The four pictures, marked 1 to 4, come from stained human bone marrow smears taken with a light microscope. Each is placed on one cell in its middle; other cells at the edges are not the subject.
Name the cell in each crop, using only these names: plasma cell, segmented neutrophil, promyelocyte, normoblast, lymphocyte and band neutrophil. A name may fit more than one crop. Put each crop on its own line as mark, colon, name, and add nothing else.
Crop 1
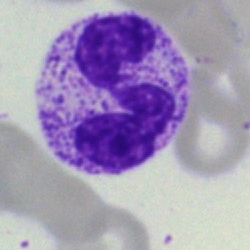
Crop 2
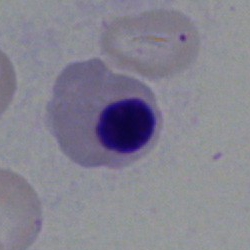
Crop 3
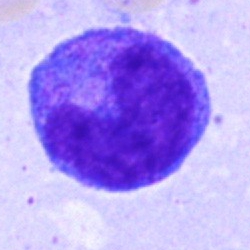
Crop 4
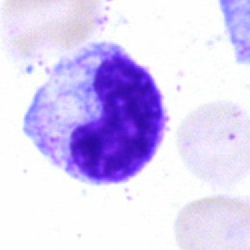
1: segmented neutrophil
2: normoblast
3: promyelocyte
4: band neutrophil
